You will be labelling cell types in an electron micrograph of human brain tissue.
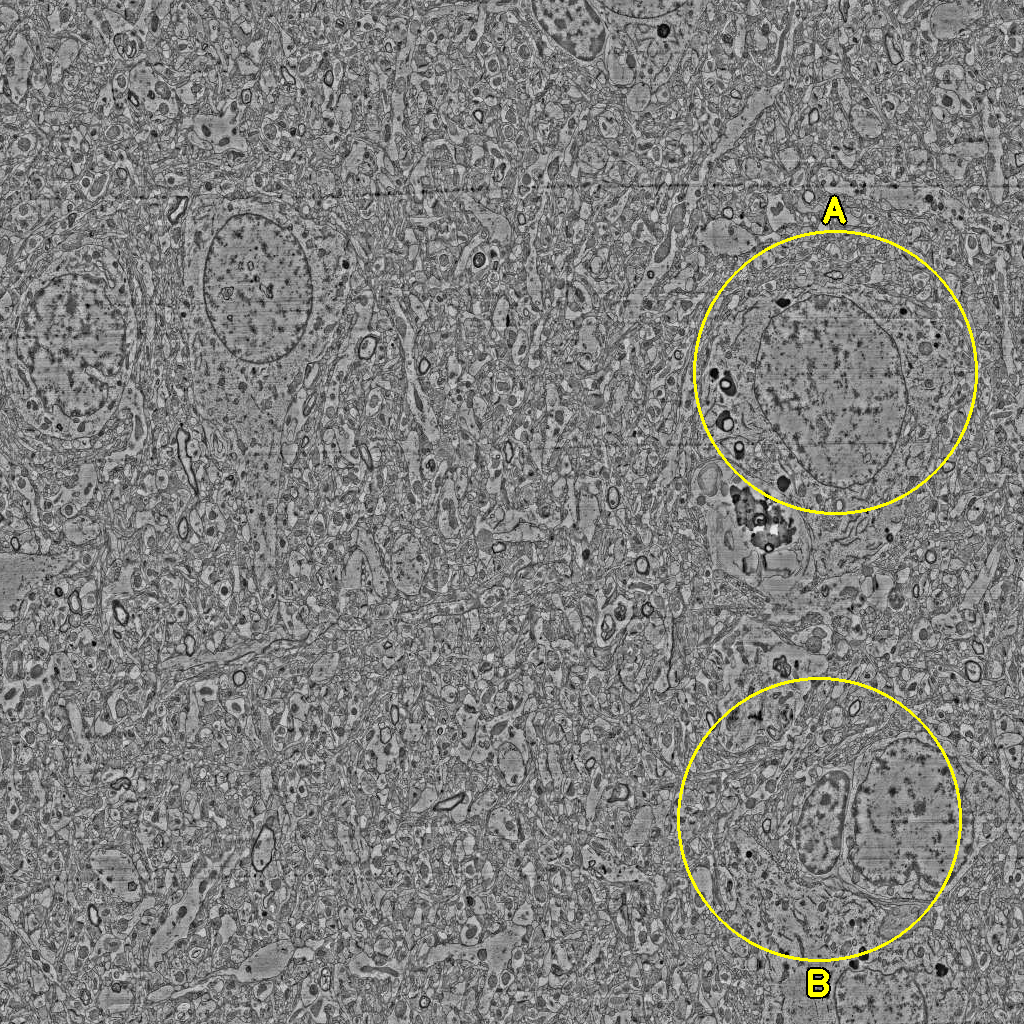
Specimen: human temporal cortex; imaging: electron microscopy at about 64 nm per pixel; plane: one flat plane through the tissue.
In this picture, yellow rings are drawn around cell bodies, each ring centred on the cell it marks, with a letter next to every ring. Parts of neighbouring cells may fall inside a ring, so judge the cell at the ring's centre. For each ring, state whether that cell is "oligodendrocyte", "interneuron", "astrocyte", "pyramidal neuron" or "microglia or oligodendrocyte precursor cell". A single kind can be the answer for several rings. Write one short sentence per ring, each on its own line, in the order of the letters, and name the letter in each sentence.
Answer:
Ring A contains a pyramidal neuron at its centre.
Ring B contains a microglial cell or oligodendrocyte precursor cell at its centre.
